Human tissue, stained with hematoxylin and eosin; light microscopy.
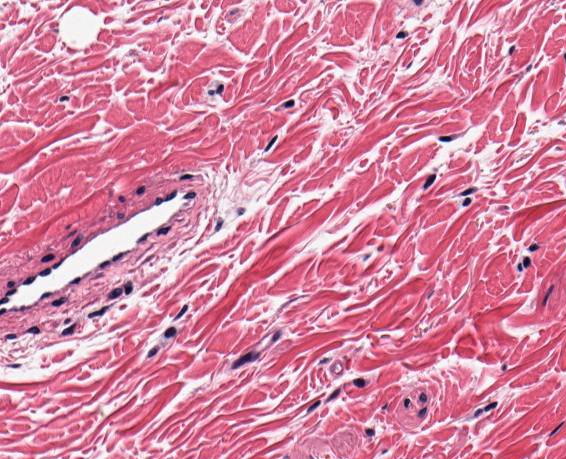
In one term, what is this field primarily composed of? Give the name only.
smooth muscle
